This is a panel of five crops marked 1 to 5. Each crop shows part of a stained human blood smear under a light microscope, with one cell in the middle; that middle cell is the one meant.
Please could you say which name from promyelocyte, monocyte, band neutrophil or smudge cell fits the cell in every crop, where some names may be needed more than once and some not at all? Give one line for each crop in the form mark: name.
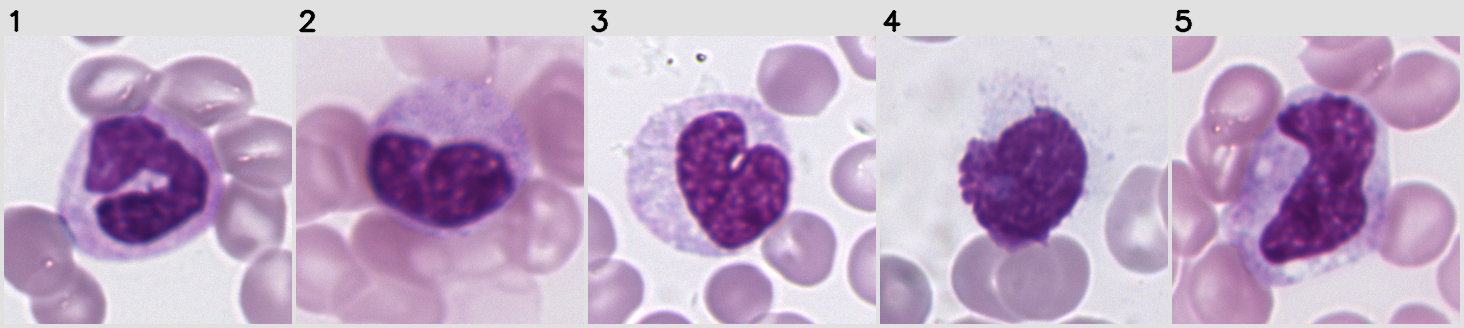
1: band neutrophil
2: band neutrophil
3: band neutrophil
4: smudge cell
5: band neutrophil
